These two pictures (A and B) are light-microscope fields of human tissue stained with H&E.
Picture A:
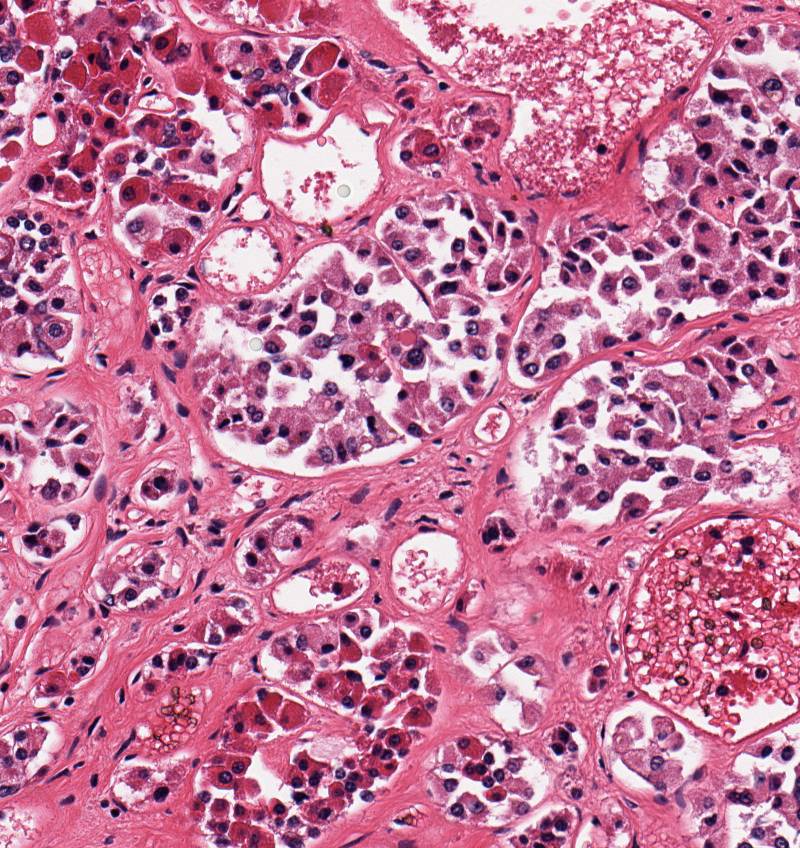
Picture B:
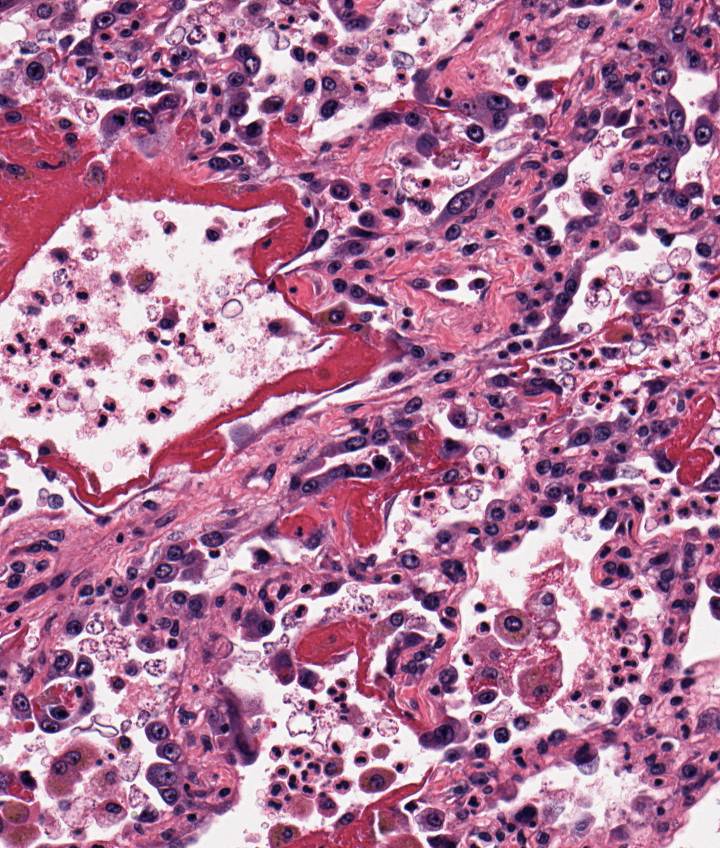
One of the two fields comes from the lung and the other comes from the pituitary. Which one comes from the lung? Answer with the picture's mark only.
B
